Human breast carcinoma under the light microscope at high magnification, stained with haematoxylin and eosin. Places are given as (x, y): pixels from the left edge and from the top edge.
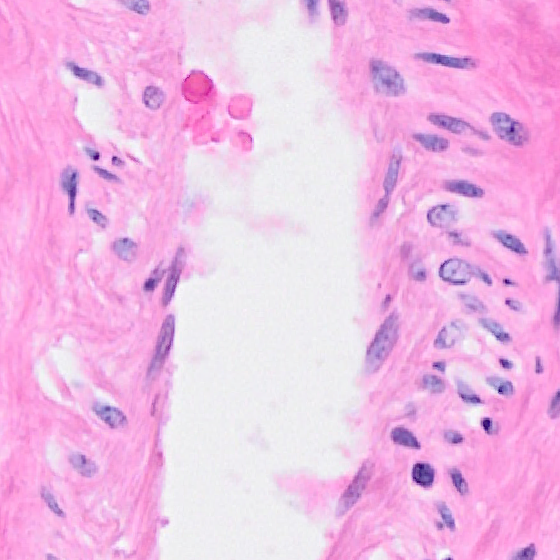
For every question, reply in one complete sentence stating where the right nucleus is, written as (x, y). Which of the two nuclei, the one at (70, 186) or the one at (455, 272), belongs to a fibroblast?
The nucleus whose cell is a fibroblast is the one at (70, 186).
